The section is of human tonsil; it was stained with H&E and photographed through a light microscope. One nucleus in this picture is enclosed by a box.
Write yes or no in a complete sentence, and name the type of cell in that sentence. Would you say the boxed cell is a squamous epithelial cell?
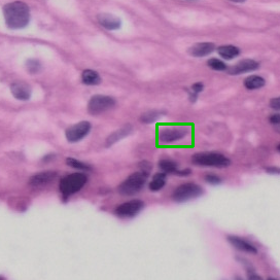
Yes, it is accurate to say that the boxed cell is a squamous epithelial cell.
